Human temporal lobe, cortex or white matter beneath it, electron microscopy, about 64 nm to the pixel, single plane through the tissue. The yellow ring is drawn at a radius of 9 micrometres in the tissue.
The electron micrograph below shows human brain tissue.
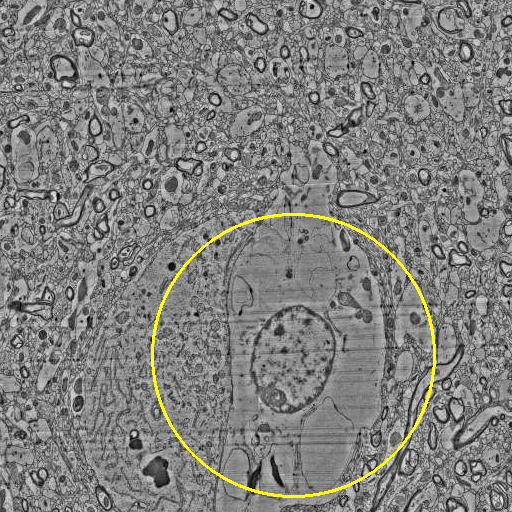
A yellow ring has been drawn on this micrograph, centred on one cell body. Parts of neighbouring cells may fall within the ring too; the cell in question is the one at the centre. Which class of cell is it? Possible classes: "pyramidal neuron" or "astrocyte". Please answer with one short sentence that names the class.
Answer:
In the centre of the ring sits an astrocyte.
